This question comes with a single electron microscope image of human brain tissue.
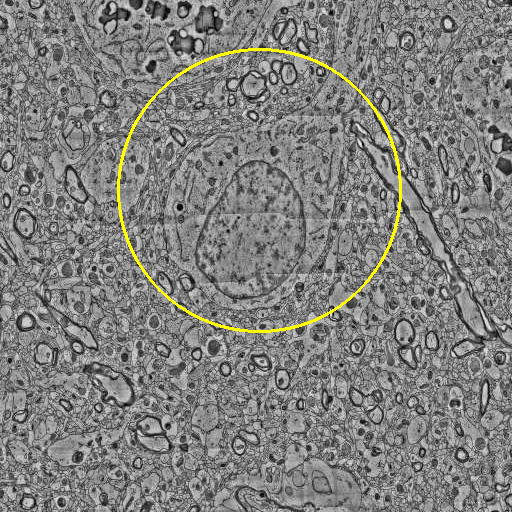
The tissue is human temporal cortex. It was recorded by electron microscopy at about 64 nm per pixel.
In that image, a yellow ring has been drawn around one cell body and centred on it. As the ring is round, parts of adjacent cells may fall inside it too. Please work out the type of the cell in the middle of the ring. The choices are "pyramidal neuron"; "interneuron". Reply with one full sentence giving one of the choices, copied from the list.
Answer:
Of the choices, a pyramidal neuron is the cell sitting in the middle of the ring.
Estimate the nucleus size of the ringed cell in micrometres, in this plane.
Approximately 9 micrometres long and 7 micrometres wide, in this plane.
